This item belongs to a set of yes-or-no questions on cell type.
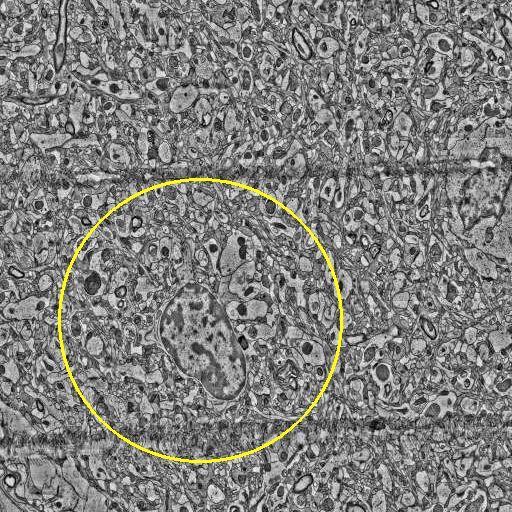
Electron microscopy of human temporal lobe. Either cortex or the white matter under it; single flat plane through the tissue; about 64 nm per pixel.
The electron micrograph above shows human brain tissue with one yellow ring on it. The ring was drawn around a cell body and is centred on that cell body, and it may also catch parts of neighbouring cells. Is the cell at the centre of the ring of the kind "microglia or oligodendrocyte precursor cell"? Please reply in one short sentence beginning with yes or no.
Yes, that cell is of the named kind.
